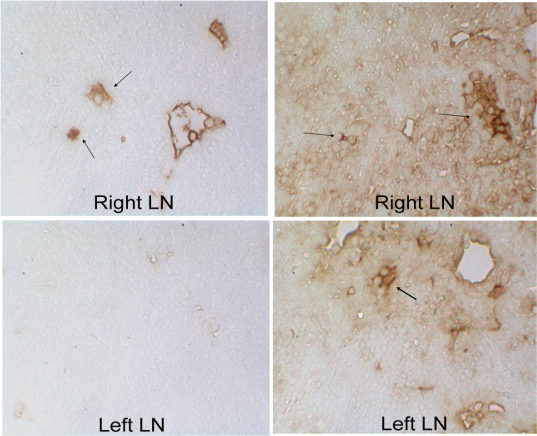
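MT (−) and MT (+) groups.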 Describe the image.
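Four fields of lymph node tissue are shown, made up of densely packed small cells with a pale, lightly stained background and a few open spaces. Scattered among them are small clusters of cells with brown-stained membranes and cytoplasm, pointed out by arrows.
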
